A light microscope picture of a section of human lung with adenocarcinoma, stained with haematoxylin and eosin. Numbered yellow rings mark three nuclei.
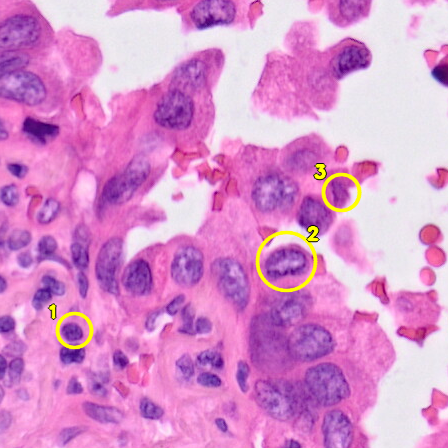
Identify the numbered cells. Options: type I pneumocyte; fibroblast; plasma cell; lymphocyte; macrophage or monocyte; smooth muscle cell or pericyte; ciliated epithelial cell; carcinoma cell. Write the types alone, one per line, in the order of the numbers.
lymphocyte
carcinoma cell
carcinoma cell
